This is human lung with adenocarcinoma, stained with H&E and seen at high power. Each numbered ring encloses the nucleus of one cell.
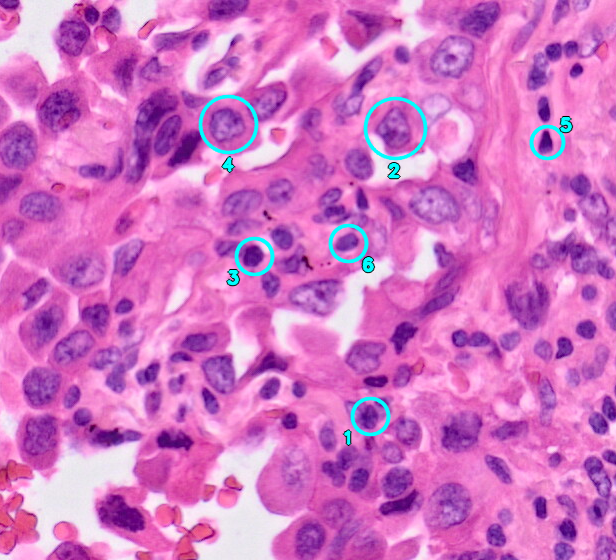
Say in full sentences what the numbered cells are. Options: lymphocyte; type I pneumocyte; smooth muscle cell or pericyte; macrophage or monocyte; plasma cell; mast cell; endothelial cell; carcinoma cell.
Cell 1 is a lymphocyte, cell 2 is a carcinoma cell, cell 3 is a lymphocyte, cell 4 is a carcinoma cell, cell 5 is a lymphocyte and cell 6 is a lymphocyte.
